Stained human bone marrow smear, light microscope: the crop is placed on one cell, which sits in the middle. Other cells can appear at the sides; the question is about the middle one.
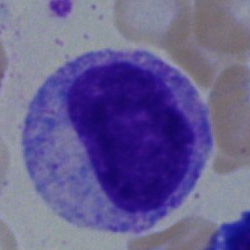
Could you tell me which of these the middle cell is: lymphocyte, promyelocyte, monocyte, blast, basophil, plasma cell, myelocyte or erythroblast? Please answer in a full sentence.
In the crop, the cell of interest at the centre is a myelocyte.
